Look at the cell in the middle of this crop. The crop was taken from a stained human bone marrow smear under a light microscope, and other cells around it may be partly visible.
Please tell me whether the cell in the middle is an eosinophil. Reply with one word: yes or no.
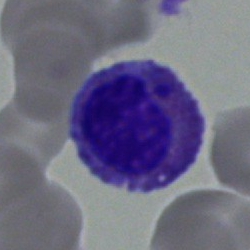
yes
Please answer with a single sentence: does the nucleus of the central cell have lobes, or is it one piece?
What stands out is a nucleus forming one compact round, oval or kidney-shaped mass.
